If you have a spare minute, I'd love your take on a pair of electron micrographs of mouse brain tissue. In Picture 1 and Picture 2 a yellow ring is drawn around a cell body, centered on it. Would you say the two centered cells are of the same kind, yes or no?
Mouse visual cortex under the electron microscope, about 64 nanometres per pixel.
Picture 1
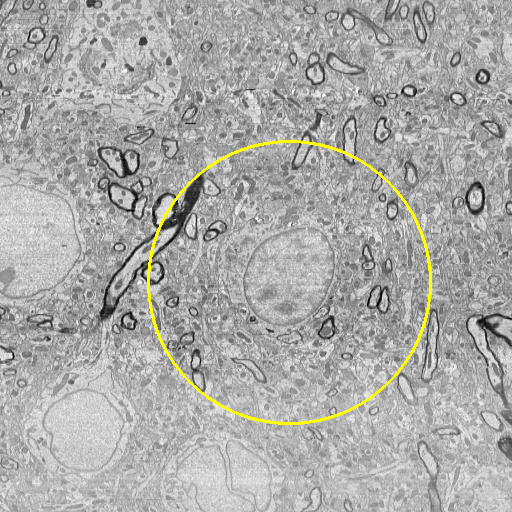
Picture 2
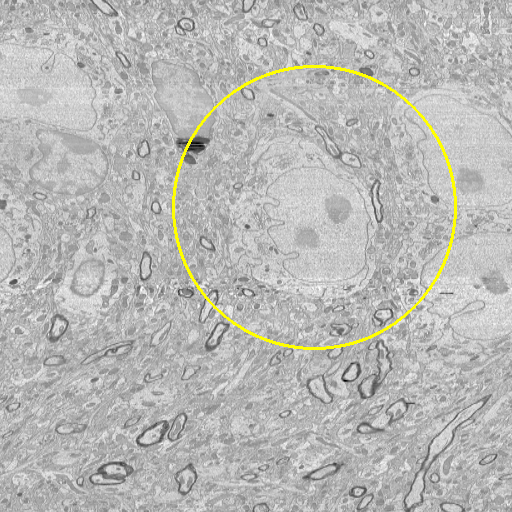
no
